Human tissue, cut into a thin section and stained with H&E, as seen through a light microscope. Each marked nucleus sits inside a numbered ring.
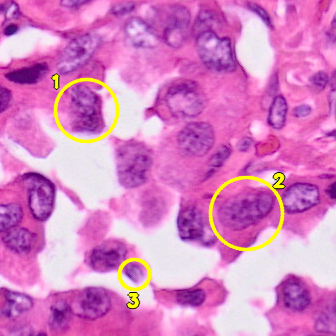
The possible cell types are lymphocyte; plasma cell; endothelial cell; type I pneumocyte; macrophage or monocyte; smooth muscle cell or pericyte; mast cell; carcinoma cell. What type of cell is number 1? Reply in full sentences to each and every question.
The marked nucleus 1 is that of a carcinoma cell.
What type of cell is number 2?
The cell that is numbered 2 is a carcinoma cell.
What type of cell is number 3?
That cell with number 3 is a lymphocyte.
